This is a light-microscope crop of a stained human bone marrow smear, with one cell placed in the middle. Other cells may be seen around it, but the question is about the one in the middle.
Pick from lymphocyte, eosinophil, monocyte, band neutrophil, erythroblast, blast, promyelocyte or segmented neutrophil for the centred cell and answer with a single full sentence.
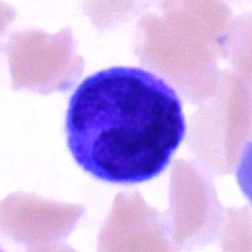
The cell featured at the centre of this crop is a monocyte.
